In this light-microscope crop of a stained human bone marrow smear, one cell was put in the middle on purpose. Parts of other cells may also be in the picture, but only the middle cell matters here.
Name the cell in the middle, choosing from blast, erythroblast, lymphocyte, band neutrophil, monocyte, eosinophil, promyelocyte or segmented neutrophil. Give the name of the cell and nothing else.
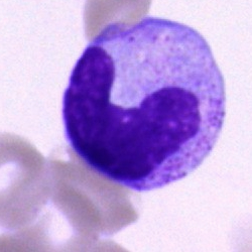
band neutrophil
